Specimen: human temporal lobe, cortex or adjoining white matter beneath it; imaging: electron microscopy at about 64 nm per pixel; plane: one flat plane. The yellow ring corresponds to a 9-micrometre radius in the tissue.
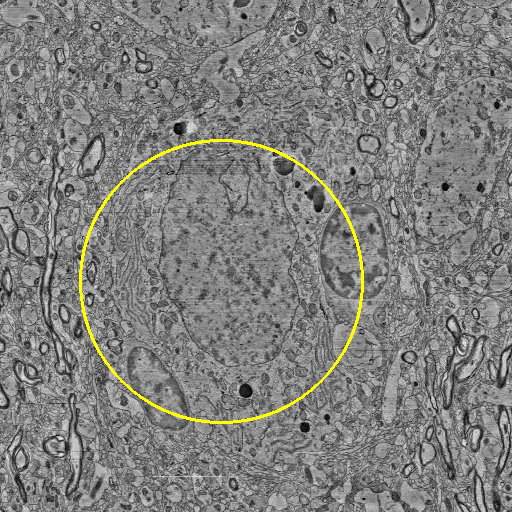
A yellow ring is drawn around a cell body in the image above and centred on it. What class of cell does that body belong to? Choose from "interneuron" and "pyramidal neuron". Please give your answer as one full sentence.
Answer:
The yellow ring above is centred on the cell body of an interneuron.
